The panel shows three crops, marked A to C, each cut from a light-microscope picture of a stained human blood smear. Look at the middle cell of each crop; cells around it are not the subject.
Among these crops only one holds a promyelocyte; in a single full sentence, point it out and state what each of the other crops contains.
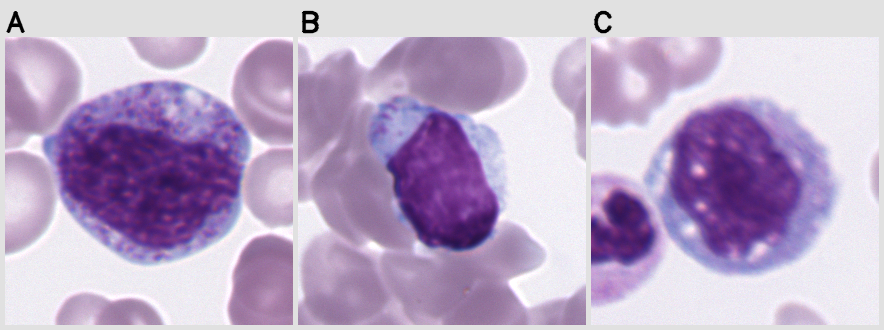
In crop A the central cell is a promyelocyte, while crop B is a large granular lymphocyte and crop C is a monocyte.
